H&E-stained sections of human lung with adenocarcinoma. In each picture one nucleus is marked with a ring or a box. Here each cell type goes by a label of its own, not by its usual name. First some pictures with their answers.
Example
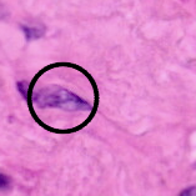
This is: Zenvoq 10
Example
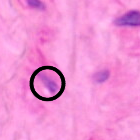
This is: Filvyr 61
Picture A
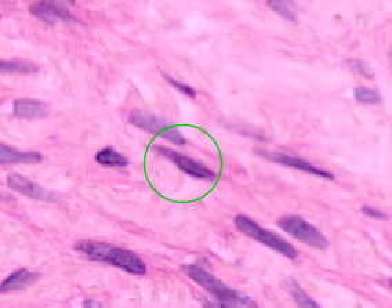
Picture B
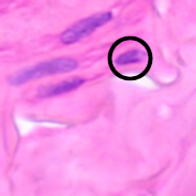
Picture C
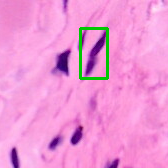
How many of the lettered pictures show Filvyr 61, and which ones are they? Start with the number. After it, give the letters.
2, namely A, B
